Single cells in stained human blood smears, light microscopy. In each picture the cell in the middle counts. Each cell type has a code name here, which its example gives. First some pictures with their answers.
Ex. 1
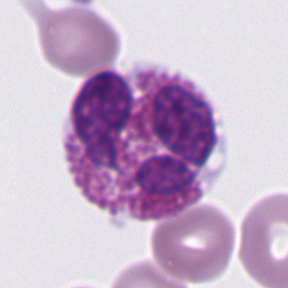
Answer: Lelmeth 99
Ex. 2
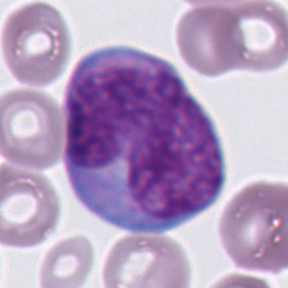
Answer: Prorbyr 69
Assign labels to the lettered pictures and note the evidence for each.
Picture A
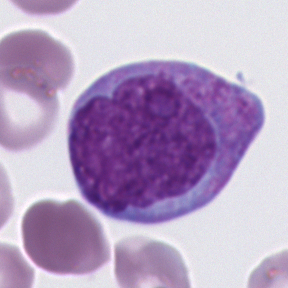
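Prorbyr 69. Reason: Fine purplish granules are scattered in the cytoplasm at the upper right.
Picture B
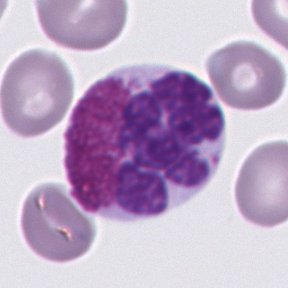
Lelmeth 99. Reason: Coarse granules crowd the left part of the cell.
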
